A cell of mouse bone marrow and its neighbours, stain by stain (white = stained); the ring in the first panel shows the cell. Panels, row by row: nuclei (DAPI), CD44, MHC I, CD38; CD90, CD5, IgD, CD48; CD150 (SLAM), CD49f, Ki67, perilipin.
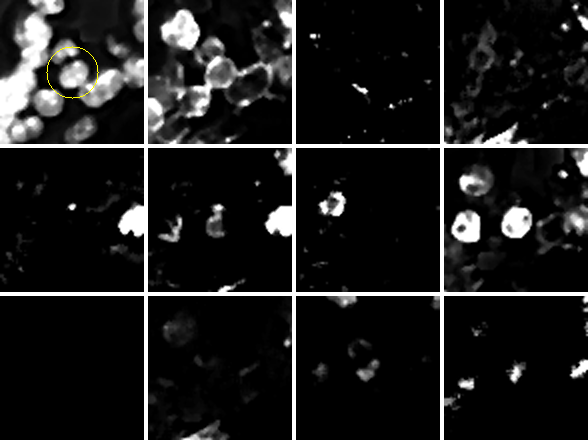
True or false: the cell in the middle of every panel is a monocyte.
True.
